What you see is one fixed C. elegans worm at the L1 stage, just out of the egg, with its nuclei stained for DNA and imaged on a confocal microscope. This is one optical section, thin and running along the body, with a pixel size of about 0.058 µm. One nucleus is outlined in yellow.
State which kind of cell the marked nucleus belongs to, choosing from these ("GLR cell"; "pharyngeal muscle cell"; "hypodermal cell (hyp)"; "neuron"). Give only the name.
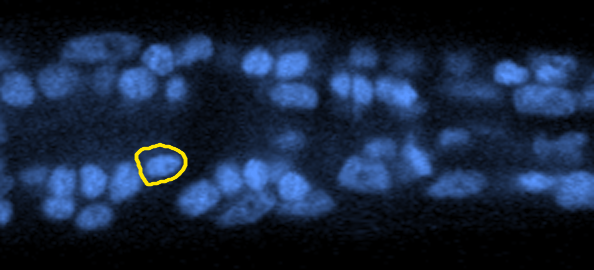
GLR cell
